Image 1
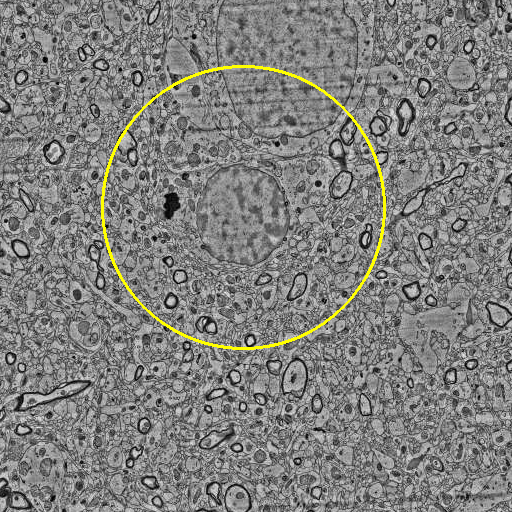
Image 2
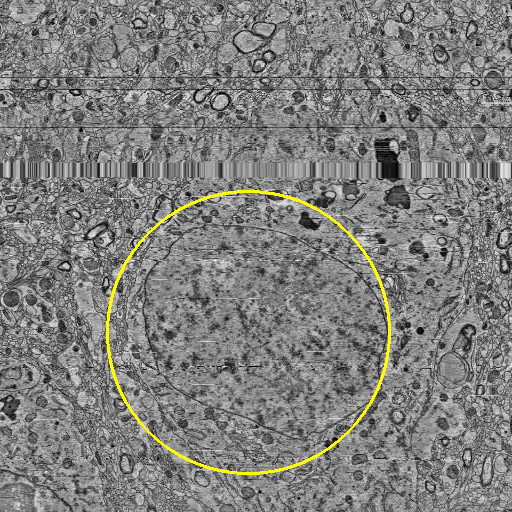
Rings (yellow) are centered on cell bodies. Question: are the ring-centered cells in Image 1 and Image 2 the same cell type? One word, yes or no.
no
